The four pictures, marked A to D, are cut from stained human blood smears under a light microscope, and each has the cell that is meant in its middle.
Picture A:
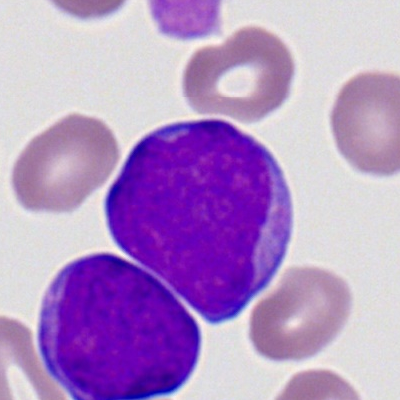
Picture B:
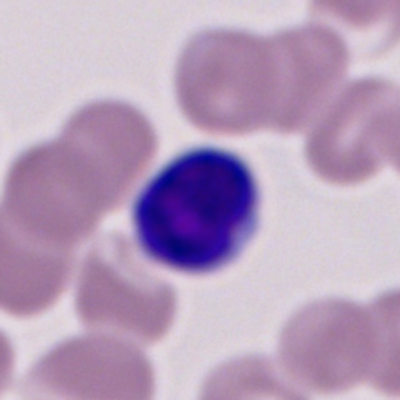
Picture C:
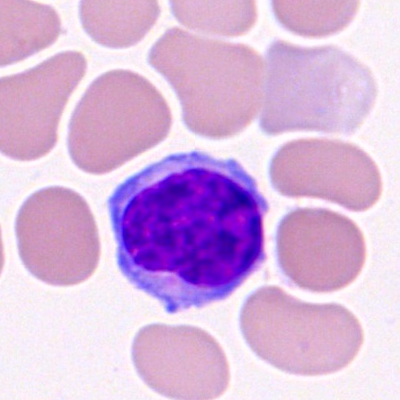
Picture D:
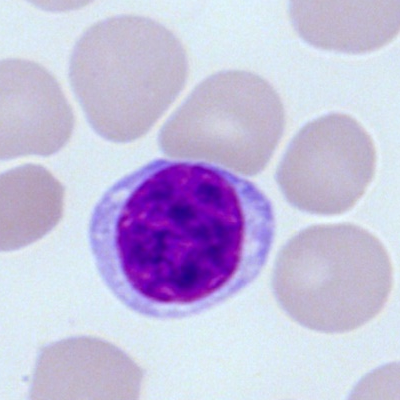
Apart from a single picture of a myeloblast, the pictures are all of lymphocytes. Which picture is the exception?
A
